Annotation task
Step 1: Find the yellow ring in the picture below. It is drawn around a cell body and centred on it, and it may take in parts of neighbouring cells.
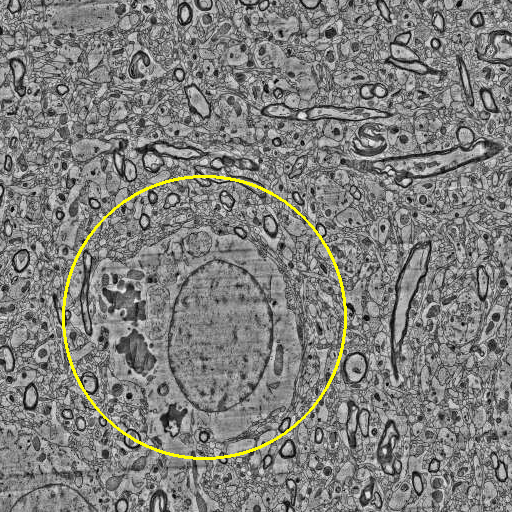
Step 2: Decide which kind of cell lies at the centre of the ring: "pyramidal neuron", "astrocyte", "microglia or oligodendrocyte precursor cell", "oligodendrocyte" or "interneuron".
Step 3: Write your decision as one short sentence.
The kind of cell at the ring's centre is an astrocyte.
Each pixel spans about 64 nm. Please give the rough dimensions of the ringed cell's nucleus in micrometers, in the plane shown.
In this plane the nucleus spans approximately 10 by 7 micrometers.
